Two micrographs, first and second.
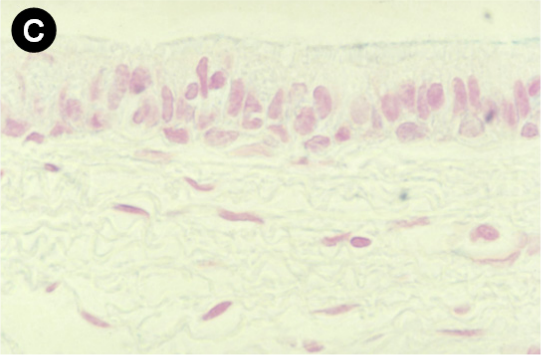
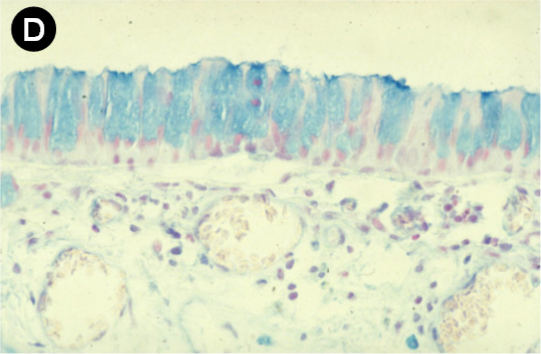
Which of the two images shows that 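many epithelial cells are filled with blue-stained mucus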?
the second image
